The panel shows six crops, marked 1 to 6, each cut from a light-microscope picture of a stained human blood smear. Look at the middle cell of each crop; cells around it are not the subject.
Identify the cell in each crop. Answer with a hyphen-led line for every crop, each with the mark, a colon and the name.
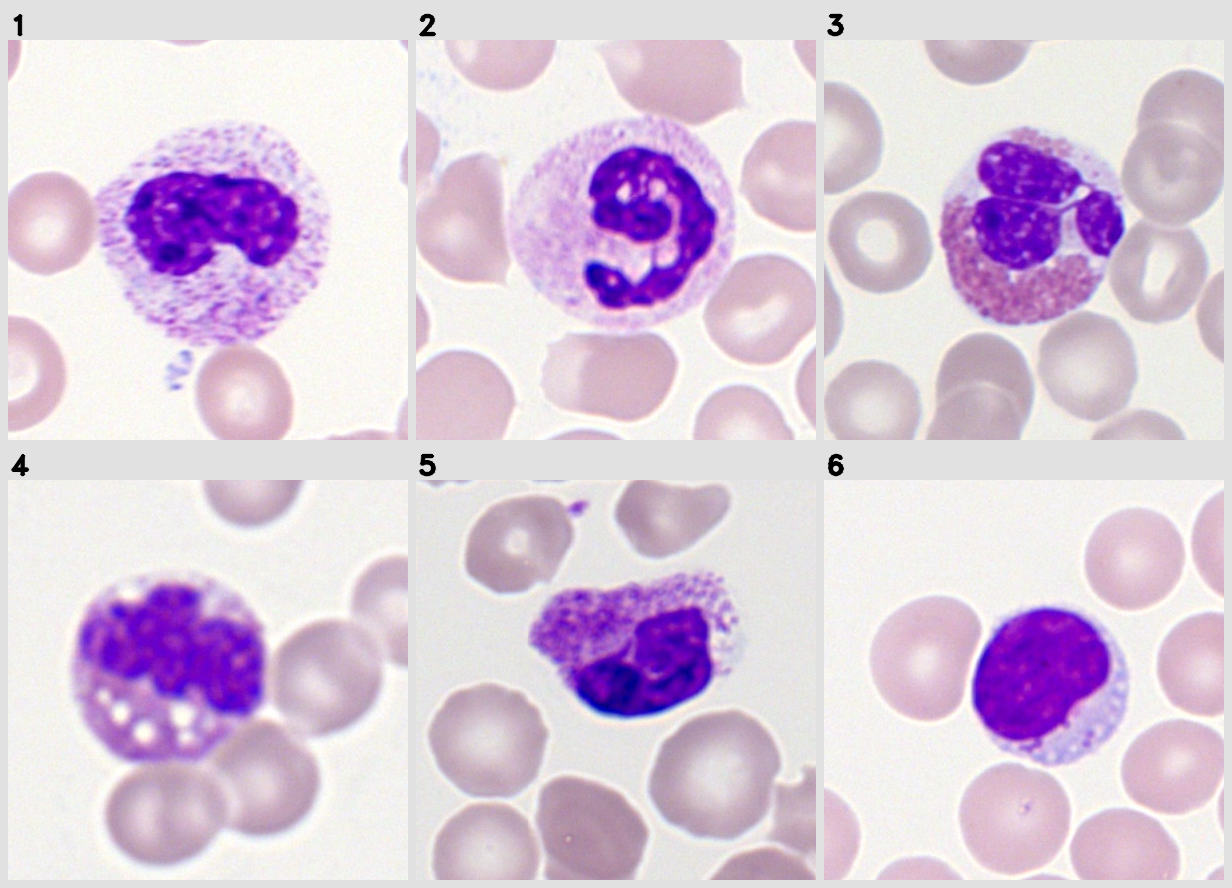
- 1: band neutrophil
- 2: segmented neutrophil
- 3: eosinophil
- 4: eosinophil
- 5: basophil
- 6: lymphocyte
